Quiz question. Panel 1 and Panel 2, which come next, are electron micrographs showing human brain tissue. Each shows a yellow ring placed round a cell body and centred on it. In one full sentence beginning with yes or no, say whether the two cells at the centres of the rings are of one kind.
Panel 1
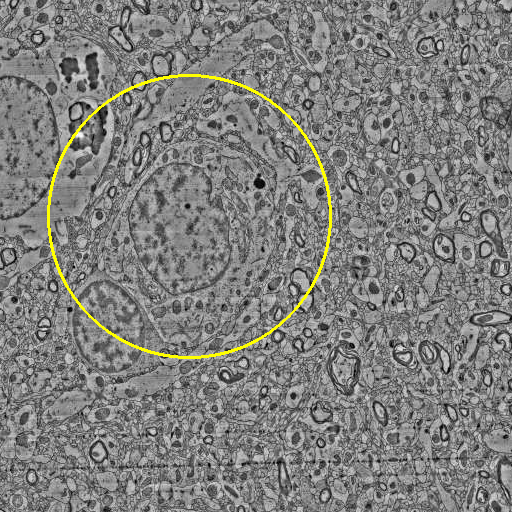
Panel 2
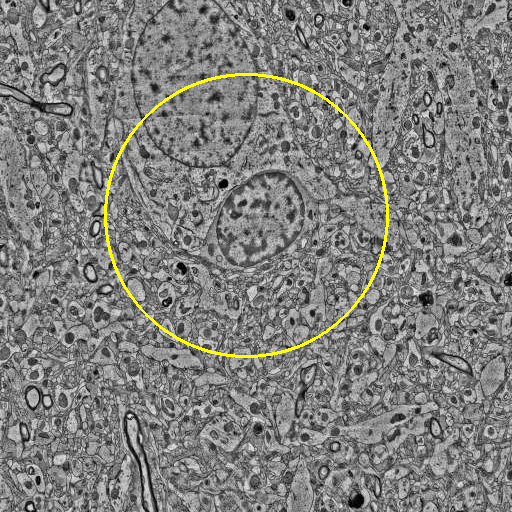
No, Panel 1 and Panel 2 show two kinds of cell at the centre of the ring.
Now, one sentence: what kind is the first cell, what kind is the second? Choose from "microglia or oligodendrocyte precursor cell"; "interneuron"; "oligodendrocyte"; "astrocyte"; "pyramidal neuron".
The first picture has an interneuron at its ring centre, and the second has an oligodendrocyte.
